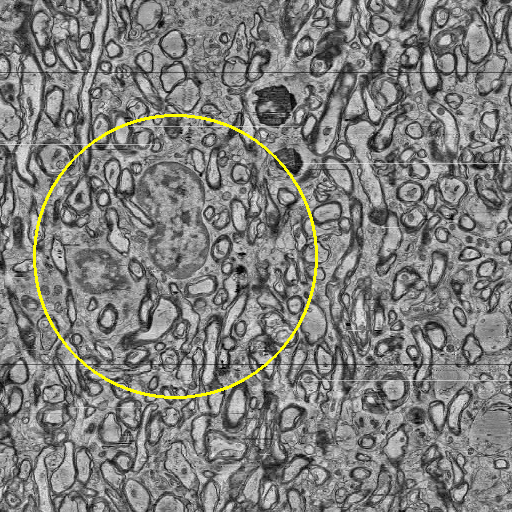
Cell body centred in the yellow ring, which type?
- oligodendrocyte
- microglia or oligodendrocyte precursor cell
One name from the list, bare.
microglia or oligodendrocyte precursor cell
